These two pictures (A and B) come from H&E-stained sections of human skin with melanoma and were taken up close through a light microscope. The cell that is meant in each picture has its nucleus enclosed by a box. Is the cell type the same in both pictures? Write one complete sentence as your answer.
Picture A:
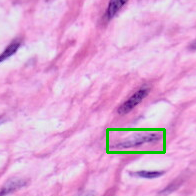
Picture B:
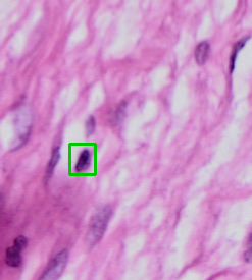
No, picture A shows a “fibroblast or myofibroblast” and picture B shows a lymphocyte.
